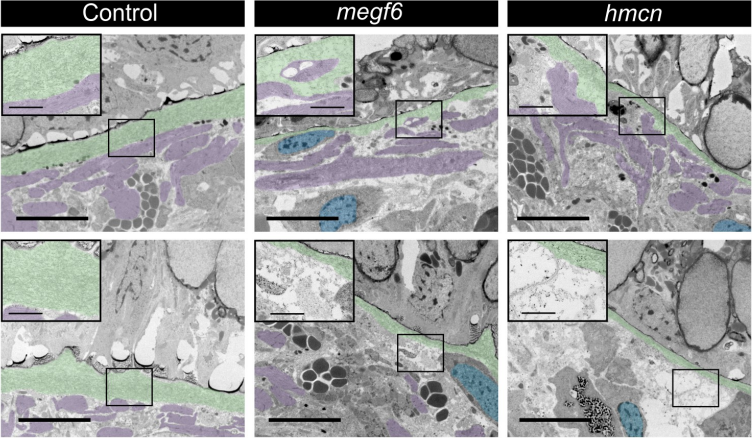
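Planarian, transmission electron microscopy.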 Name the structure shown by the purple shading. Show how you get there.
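Muscle fibers. Elongated purple-shaded profiles lie just beneath the green band. They run roughly parallel to the body surface.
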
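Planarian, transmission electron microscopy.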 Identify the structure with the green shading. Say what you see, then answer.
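A continuous green-shaded extracellular band runs beneath the epidermal layer. The band is thick in some images and thin in others.
Answer: basement membrane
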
